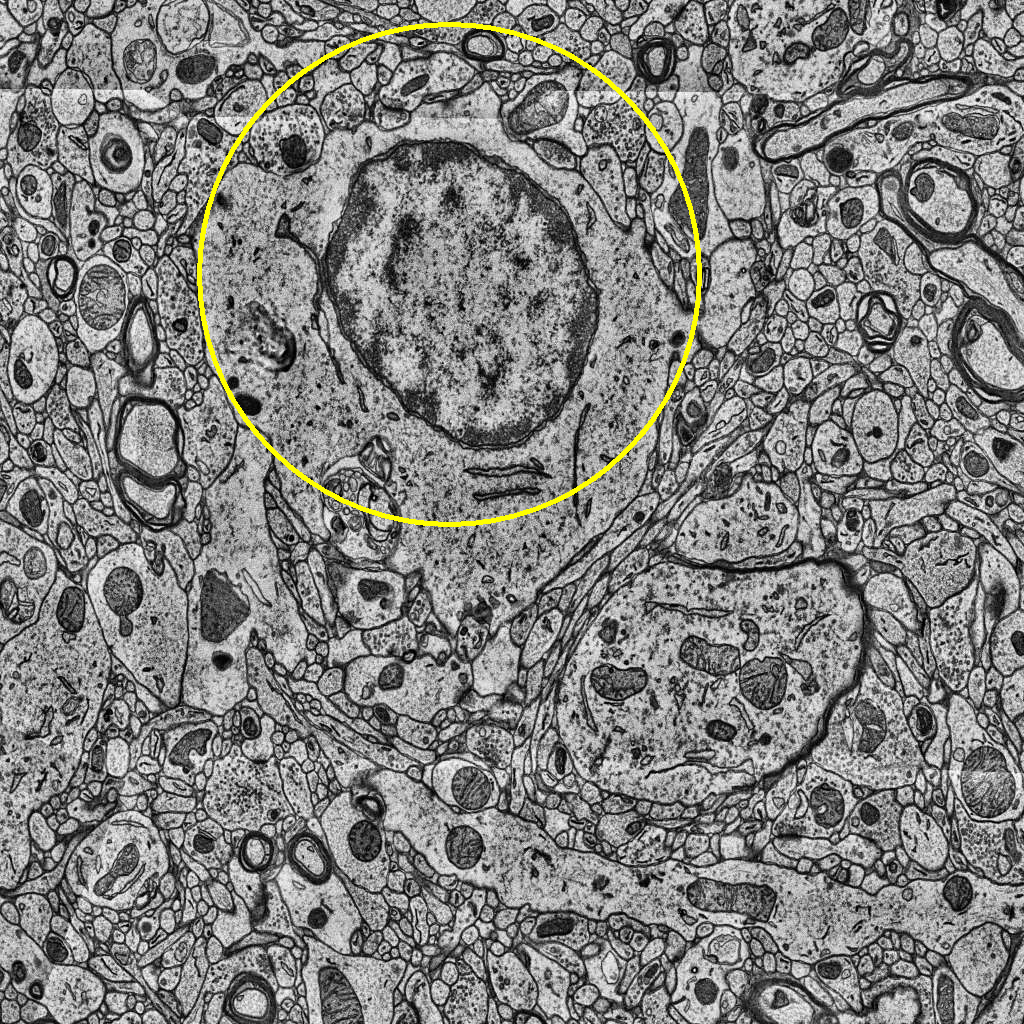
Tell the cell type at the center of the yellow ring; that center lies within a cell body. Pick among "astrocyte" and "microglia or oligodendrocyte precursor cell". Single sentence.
The ring's center lies in the body of a microglial cell or oligodendrocyte precursor cell.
